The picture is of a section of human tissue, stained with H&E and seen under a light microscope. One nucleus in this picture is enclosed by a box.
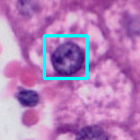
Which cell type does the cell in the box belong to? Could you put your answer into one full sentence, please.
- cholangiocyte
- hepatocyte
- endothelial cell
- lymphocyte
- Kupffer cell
Placed in its cell category, the cell in the box is a hepatocyte.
